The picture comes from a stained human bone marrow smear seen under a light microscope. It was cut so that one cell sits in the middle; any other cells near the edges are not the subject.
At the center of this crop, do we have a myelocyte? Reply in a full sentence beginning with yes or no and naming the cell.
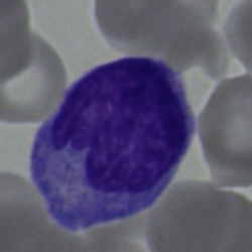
No, the cell positioned in the middle is a monocyte, not a myelocyte.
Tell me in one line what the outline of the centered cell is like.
No surface projections are present; the cell outline is smooth.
